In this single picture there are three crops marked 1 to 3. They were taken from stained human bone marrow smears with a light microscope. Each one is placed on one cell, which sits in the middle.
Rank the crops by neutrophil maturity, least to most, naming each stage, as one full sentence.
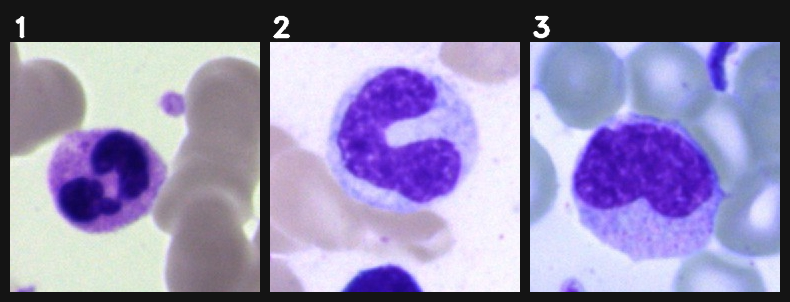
Sequenced by maturity, least first, the crops are crop 3 (a metamyelocyte), crop 2 (a band neutrophil) and crop 1 (a segmented neutrophil).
